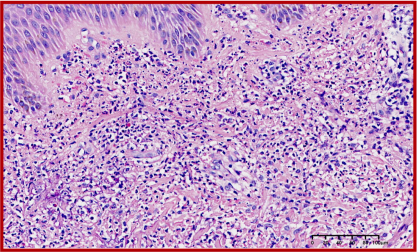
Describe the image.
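Upper dermis beneath the epidermis with a dense mixed infiltrate of inflammatory cells, many with small dark or fragmented nuclei. The overlying epidermis at the top shows basal keratinocytes with purple nuclei.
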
